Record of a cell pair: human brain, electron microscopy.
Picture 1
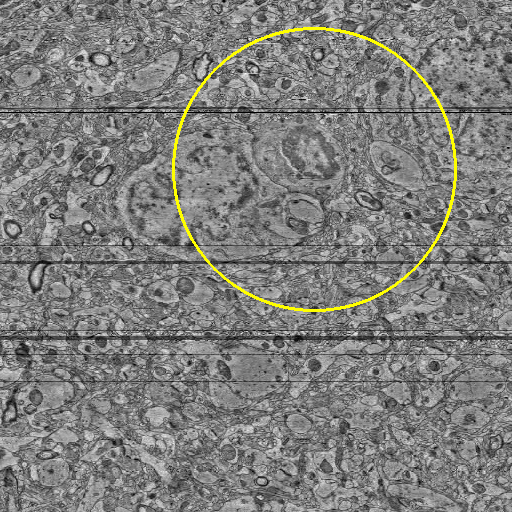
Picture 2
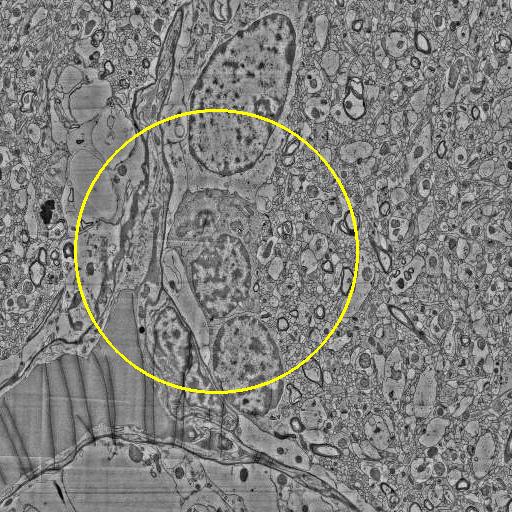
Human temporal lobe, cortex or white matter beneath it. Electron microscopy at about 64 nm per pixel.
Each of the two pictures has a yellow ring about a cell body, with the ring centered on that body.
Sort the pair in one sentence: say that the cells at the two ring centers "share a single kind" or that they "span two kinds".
The cells centered in the rings of Pictures 1 and 2 share a single kind.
